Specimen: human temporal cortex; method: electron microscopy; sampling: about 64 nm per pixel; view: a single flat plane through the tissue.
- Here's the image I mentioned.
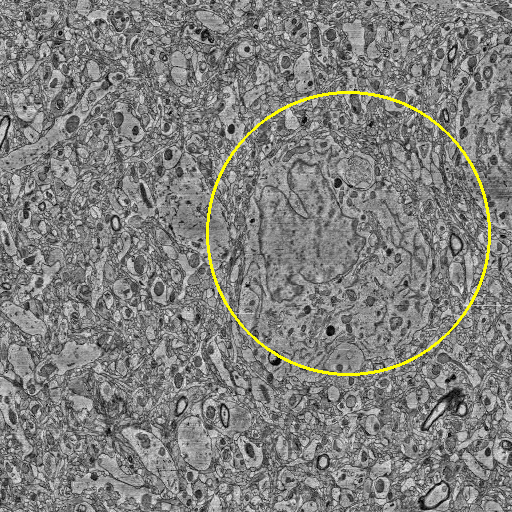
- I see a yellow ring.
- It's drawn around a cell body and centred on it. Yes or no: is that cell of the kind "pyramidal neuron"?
no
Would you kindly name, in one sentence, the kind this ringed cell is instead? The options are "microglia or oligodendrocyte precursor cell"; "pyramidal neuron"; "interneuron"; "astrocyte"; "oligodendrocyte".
The cell that the ring is centred on is an interneuron.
